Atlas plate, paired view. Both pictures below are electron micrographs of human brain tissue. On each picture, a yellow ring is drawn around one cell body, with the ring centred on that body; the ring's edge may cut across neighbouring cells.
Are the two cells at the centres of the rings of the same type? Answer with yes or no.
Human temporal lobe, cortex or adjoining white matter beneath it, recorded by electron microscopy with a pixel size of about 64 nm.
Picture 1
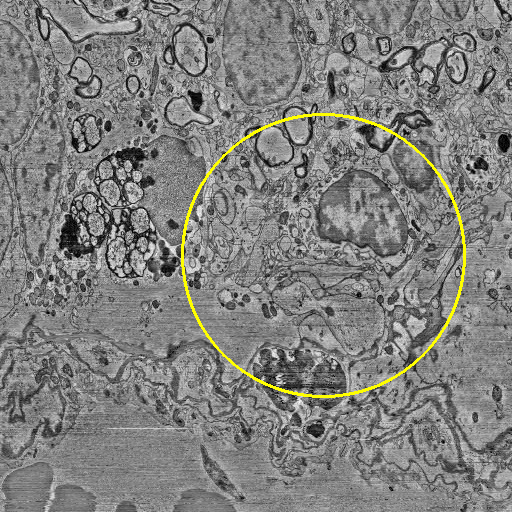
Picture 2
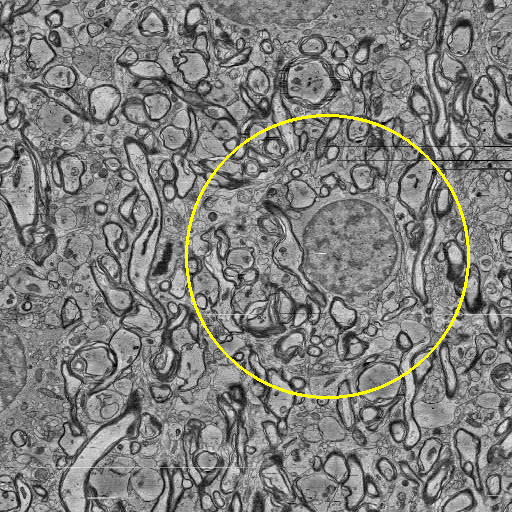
no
